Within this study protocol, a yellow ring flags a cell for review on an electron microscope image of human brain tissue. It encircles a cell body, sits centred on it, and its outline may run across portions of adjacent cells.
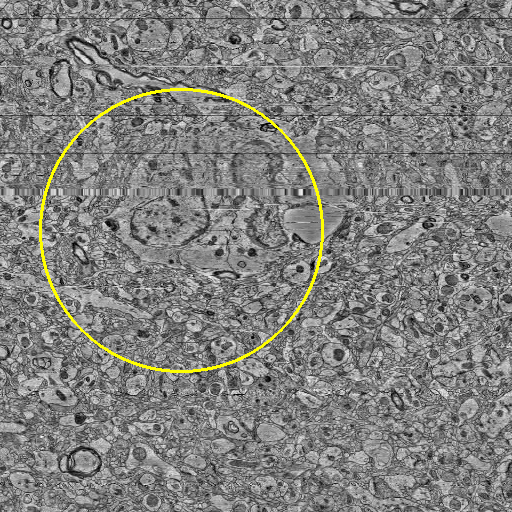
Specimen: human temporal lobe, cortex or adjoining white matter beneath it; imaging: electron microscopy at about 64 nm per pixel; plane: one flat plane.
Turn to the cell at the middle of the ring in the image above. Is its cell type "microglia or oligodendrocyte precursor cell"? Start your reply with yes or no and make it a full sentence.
Yes, the cell at the ring's centre in the image above has that cell type.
